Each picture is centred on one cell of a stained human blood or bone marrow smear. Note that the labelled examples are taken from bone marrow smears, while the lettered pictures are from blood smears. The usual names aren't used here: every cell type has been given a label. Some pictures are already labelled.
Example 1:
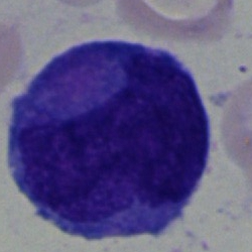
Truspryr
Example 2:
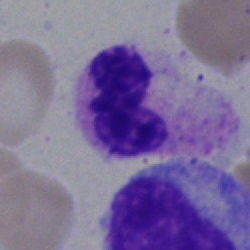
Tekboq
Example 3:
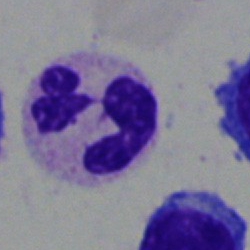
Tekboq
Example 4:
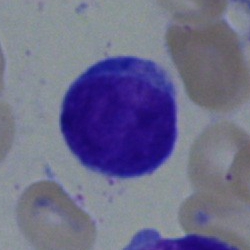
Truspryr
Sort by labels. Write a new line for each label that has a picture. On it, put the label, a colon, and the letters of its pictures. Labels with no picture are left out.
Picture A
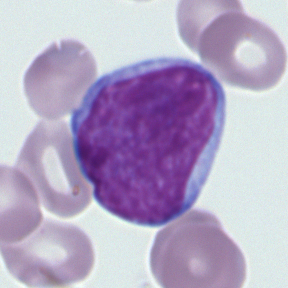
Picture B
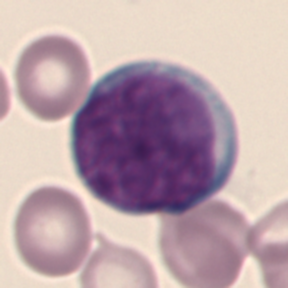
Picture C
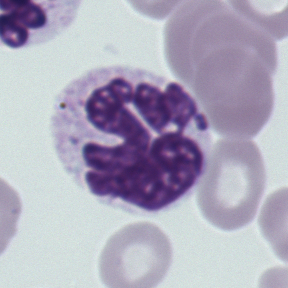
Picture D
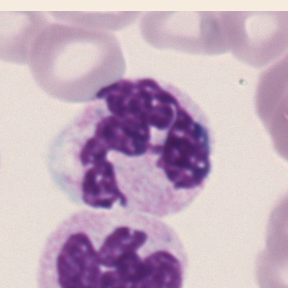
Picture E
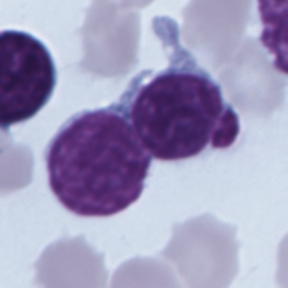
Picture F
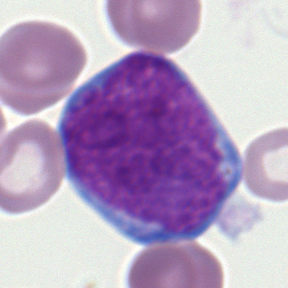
Truspryr: A, B, E, F
Tekboq: C, D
